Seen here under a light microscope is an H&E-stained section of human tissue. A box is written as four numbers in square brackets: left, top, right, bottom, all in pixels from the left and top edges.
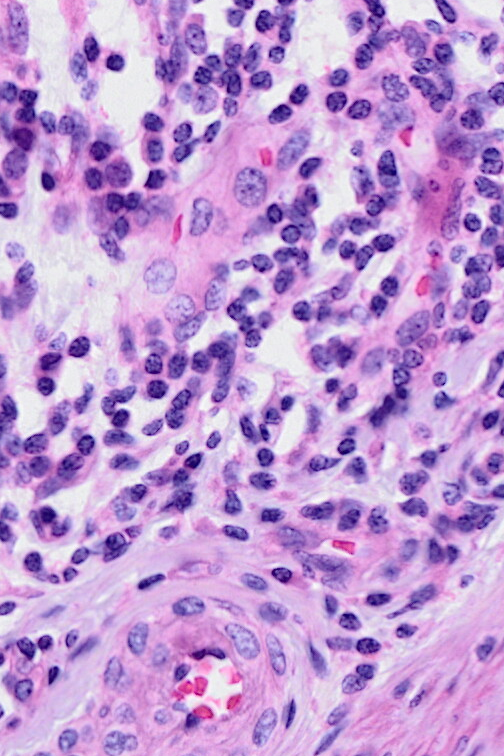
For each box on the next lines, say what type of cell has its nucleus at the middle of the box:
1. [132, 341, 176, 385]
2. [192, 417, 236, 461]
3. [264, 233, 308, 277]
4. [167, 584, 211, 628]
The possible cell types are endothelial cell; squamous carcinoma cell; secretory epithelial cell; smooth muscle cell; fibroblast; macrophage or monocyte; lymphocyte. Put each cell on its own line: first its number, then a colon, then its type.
1: lymphocyte
2: lymphocyte
3: lymphocyte
4: smooth muscle cell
